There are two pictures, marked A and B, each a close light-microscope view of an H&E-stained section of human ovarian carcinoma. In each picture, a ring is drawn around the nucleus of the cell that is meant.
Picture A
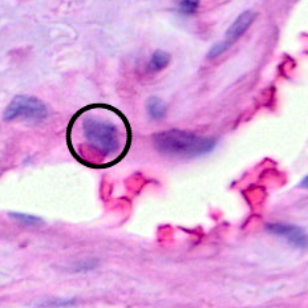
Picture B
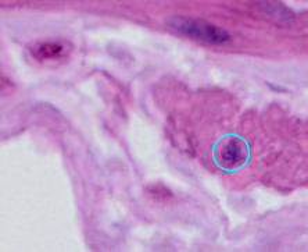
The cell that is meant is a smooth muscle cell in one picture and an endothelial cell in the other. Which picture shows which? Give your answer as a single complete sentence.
Picture A is of an endothelial cell, and picture B is of a smooth muscle cell.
